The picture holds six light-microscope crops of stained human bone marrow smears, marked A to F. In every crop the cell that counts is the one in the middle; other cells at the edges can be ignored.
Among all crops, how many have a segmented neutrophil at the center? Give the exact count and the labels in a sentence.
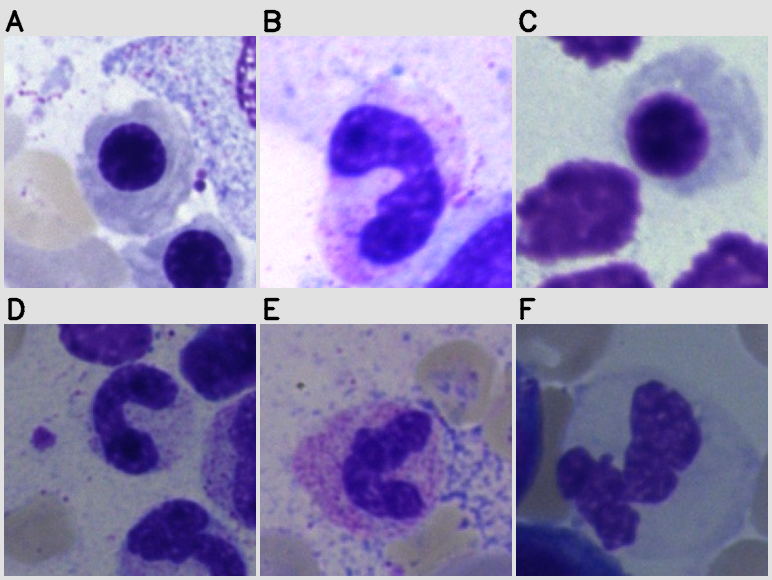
These three crops in the set show segmented neutrophils: B, E and F.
